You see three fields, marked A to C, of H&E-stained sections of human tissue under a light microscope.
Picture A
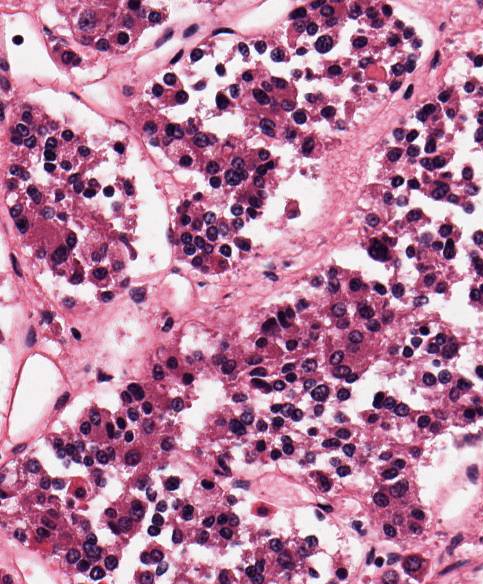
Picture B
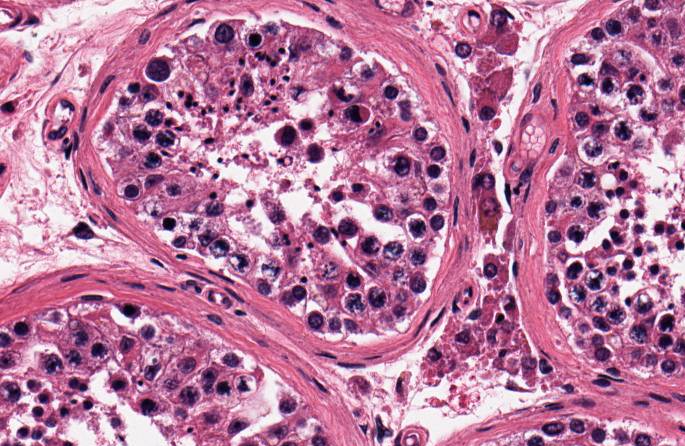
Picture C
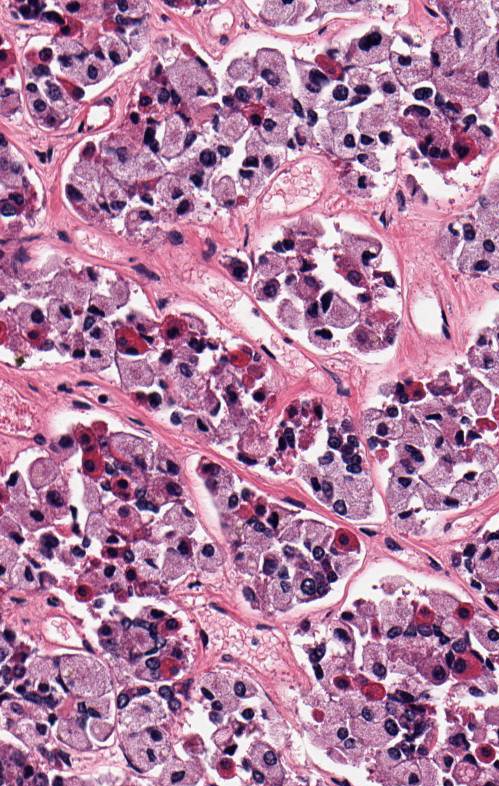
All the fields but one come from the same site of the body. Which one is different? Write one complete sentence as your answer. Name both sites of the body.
All pictures except B come from the pituitary; picture B comes from the testis.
